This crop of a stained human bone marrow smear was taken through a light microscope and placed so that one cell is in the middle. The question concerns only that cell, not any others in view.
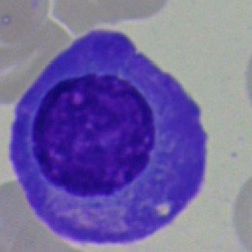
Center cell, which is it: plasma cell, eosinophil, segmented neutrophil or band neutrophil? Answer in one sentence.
Classification of the middle cell gives a plasma cell.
